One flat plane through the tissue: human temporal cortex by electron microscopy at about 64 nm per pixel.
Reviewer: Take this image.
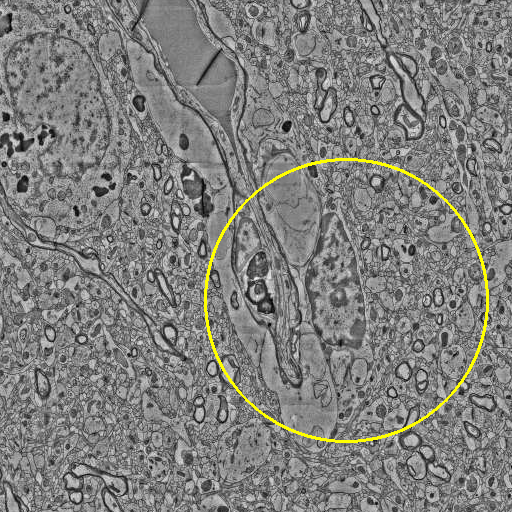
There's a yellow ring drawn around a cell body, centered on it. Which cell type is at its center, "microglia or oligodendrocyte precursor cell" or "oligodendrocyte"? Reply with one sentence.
At the center of the yellow ring is a microglial cell or oligodendrocyte precursor cell.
